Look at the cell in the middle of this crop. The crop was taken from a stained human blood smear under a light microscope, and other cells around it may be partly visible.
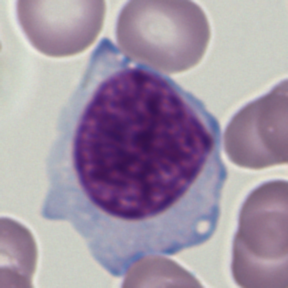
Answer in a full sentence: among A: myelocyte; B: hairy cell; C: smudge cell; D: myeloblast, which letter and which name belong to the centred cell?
The correct choice is option D, which identifies the middle cell as a myeloblast.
